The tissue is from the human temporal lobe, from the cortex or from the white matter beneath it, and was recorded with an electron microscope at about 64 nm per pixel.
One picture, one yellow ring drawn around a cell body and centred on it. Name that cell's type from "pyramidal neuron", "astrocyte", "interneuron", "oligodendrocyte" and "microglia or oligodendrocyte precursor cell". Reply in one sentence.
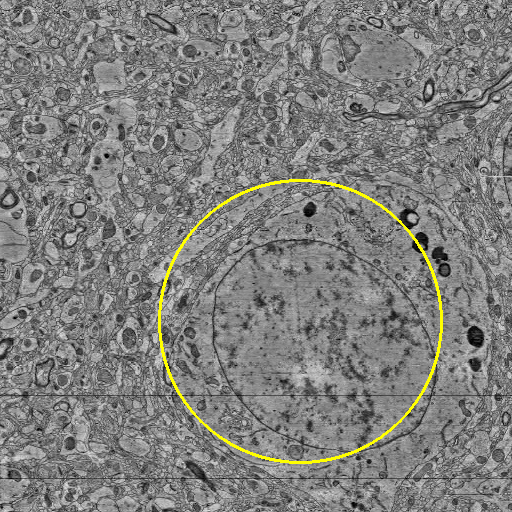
Centred in the ring is a pyramidal neuron.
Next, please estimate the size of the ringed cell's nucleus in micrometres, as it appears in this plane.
In this plane, the nucleus of the cell at the centre of the ring measures about 16 by 13 micrometres.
